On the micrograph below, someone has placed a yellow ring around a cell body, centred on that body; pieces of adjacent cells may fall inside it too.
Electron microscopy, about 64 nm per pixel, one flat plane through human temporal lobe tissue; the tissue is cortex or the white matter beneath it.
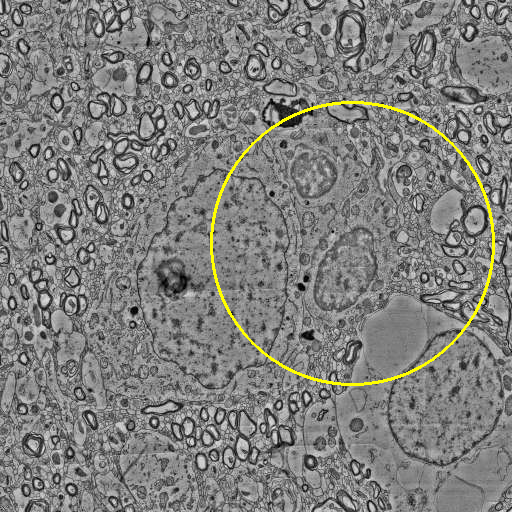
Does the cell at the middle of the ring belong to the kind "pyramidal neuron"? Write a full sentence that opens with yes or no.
No, the micrograph shows another kind of cell at the ring's centre.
